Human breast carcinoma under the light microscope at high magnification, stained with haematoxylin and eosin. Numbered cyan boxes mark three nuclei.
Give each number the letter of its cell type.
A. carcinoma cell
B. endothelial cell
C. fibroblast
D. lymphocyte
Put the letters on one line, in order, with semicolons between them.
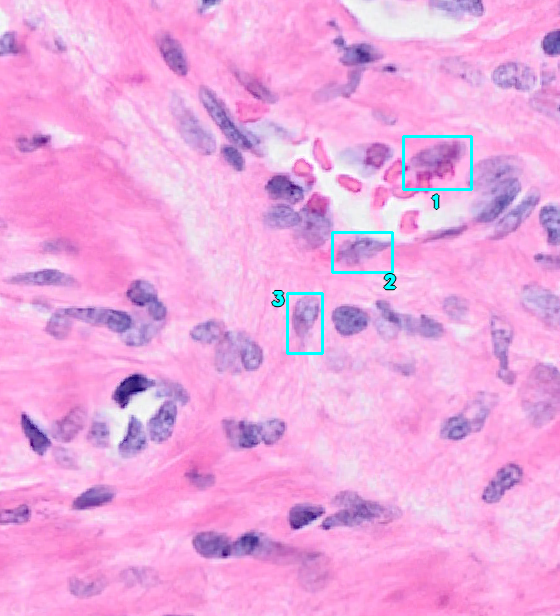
B; B; C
